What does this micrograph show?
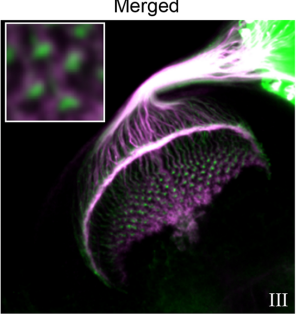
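Larval eye disc joined by the optic stalk to the brain optic lobe, showing photoreceptor axons. A dense bundle of fibres leaves the eye disc at the upper right, runs through the stalk and fans out over the lobe as many parallel, evenly spaced fibres. These end in a bright continuous band, beneath which lies a field of regularly spaced rounded swellings, the growth cones, seen enlarged in the inset as discrete green blobs on a magenta background. Fibres and band appear white where both colours overlap; the growth cone dots are mostly green.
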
